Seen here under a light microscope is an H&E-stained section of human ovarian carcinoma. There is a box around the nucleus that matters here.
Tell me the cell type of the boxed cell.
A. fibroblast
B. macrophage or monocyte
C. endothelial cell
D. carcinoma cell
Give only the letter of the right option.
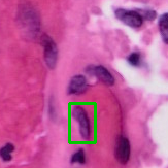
C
